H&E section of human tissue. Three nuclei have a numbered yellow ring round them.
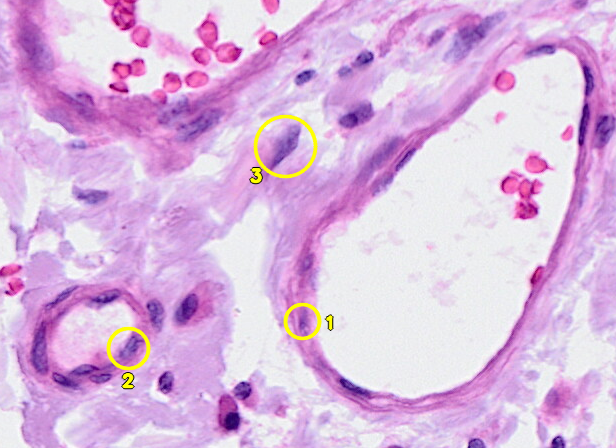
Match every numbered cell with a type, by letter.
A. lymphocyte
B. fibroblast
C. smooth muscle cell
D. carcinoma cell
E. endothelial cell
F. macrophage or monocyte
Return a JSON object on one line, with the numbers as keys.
{"1": "E", "2": "E", "3": "B"}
